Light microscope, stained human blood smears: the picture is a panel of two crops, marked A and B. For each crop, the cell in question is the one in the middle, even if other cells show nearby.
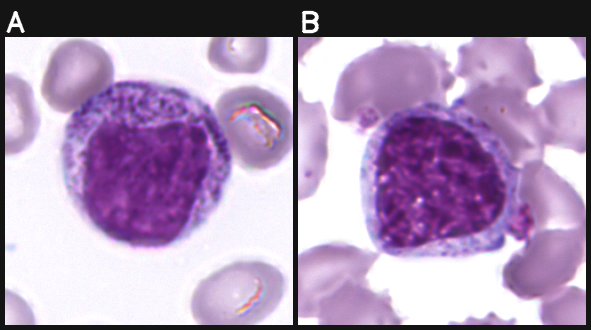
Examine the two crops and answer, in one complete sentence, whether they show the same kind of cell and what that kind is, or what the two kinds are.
Yes, the same answer goes for both crops, namely myelocytes.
